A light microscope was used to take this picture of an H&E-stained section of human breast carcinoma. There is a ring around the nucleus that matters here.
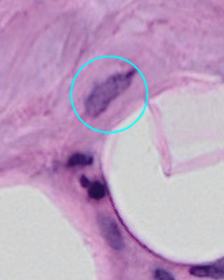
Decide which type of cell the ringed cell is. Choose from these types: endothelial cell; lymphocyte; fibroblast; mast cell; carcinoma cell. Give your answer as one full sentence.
The ringed cell is a fibroblast.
